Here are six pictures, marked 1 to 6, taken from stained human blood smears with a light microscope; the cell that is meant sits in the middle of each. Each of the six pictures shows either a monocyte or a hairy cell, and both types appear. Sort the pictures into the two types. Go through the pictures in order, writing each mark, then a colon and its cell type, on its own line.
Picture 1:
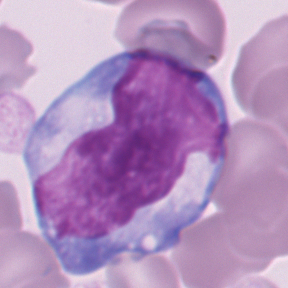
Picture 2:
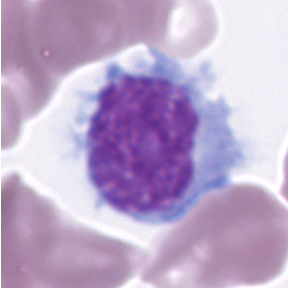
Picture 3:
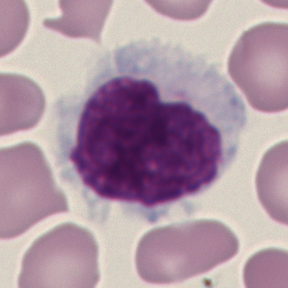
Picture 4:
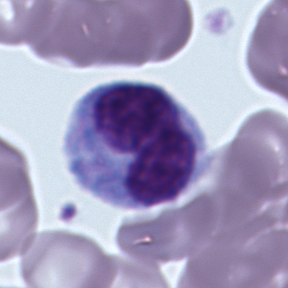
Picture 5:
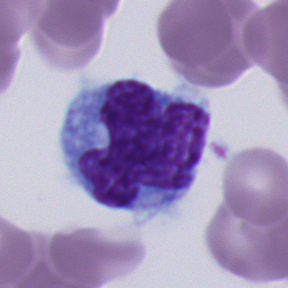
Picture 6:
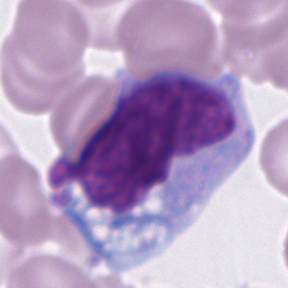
1: monocyte
2: hairy cell
3: hairy cell
4: monocyte
5: monocyte
6: monocyte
